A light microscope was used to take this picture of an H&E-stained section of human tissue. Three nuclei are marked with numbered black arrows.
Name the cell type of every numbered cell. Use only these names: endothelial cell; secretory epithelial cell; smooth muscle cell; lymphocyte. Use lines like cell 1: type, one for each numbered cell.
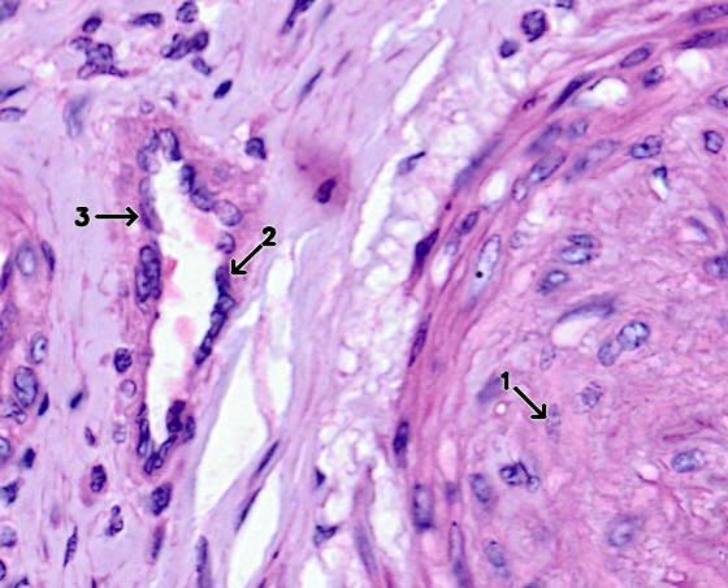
cell 1: smooth muscle cell
cell 2: endothelial cell
cell 3: endothelial cell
